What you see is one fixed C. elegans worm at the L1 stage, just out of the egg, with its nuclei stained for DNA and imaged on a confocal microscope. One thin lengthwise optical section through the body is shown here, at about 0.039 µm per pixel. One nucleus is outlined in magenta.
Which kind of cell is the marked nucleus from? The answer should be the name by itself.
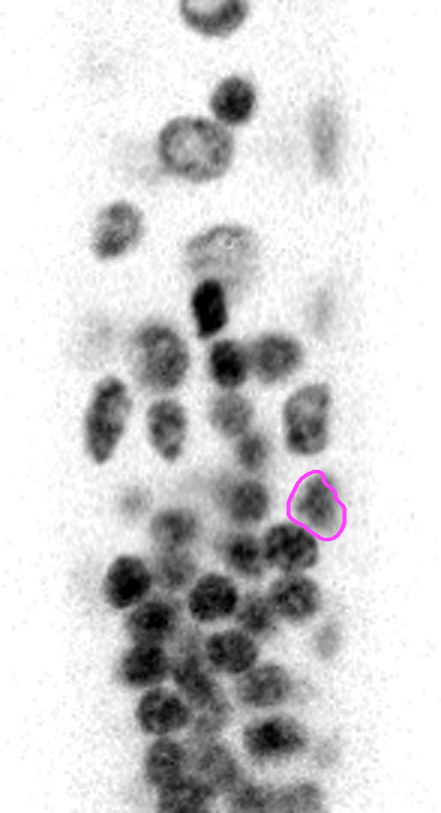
neuron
